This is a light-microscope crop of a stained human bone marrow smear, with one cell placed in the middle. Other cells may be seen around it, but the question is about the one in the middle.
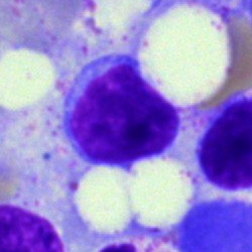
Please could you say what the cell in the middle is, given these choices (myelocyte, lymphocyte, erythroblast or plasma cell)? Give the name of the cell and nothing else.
lymphocyte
